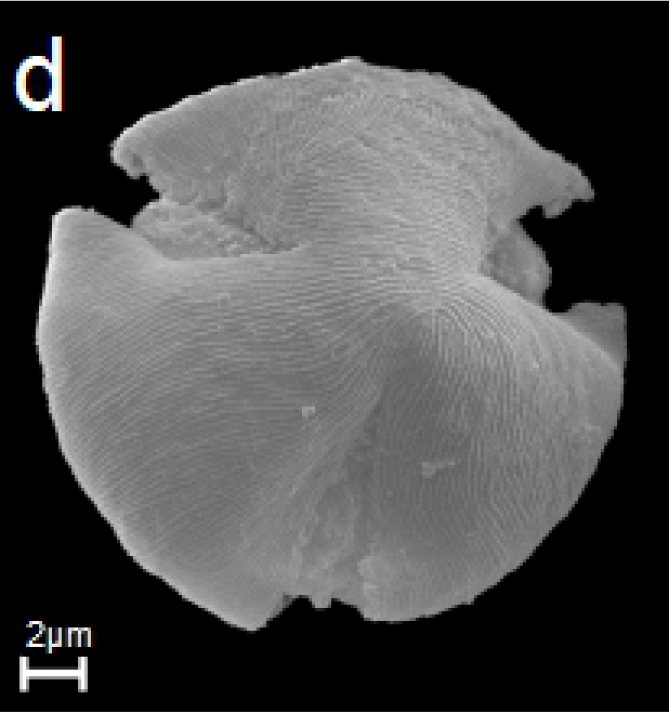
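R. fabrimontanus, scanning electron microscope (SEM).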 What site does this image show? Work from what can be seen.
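The grain appears roughly round in outline. Three furrows converge from the margin toward the centre. On this evidence: polar views.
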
